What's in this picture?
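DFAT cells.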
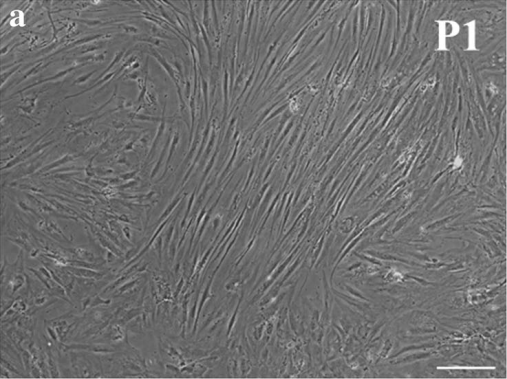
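These are cultured fibroblast-like cells seen by phase contrast, packed densely across the whole field. Each cell is slender and spindle-shaped with tapering ends. They lie side by side in long parallel streams that curve and swirl in places, with a few brighter rounded bits scattered among them.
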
